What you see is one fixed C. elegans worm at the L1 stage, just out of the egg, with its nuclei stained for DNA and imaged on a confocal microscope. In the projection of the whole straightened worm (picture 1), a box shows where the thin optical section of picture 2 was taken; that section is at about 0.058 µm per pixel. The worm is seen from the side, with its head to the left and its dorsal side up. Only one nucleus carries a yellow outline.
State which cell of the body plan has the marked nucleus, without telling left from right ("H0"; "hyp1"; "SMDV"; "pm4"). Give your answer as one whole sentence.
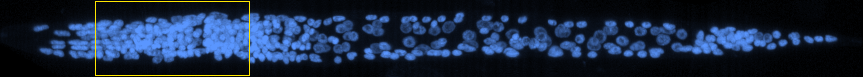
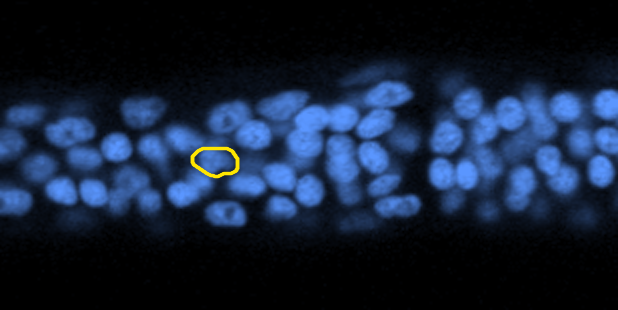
The marked nucleus belongs to pm4, a pharyngeal muscle cell.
